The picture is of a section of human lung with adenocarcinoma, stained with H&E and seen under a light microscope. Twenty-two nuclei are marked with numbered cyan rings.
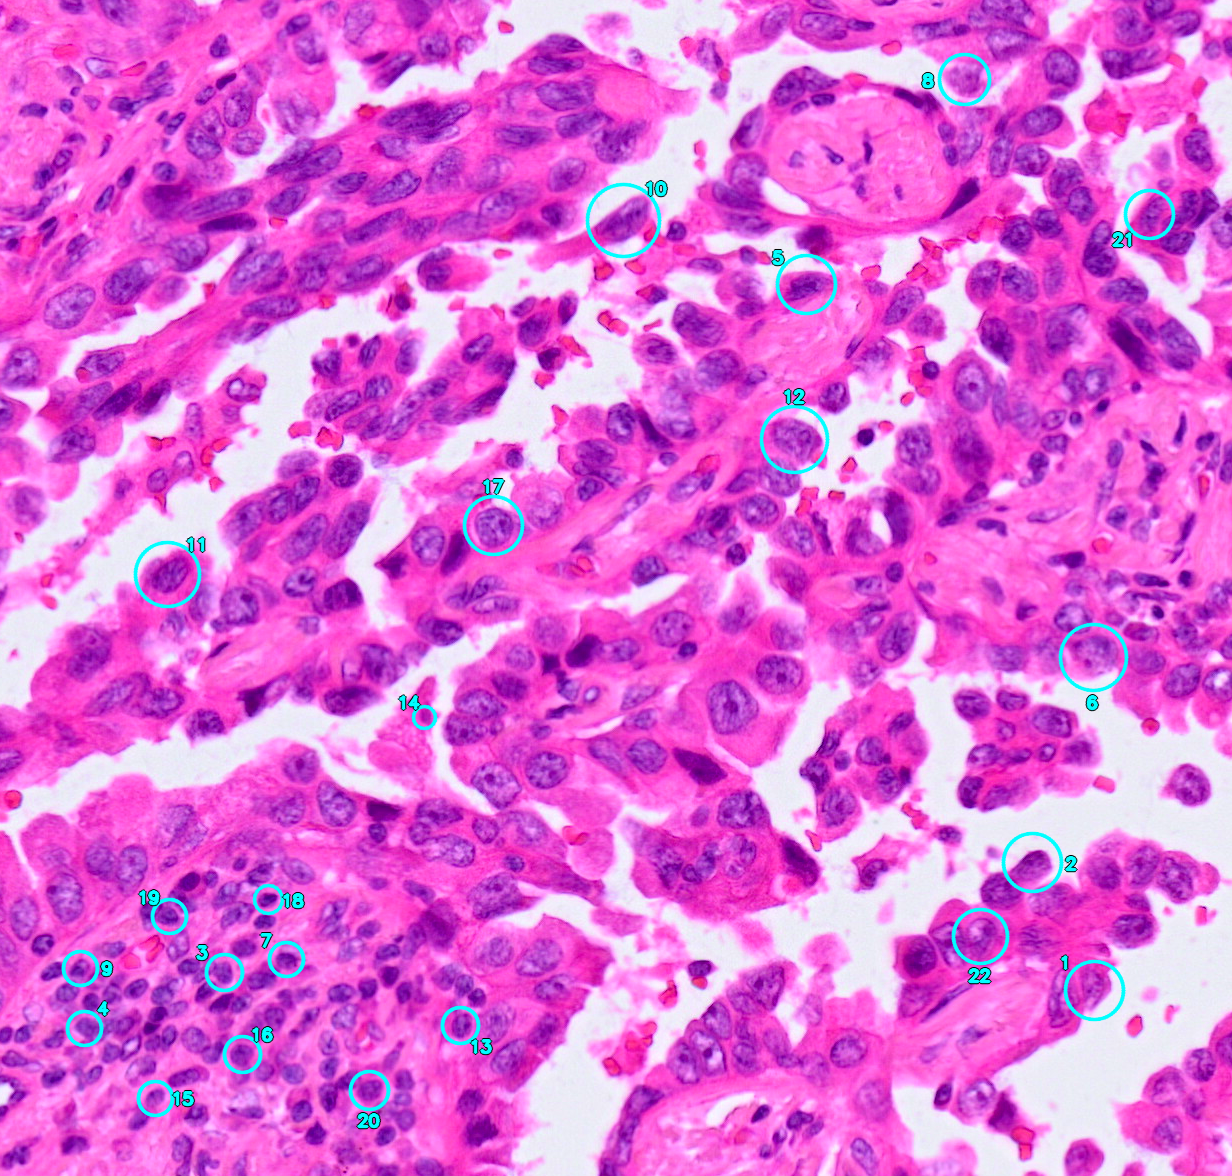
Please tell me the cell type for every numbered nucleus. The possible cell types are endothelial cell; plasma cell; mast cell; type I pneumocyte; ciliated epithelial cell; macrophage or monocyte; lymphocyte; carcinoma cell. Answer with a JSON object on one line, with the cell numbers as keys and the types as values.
{"1": "carcinoma cell", "2": "carcinoma cell", "3": "lymphocyte", "4": "lymphocyte", "5": "carcinoma cell", "6": "carcinoma cell", "7": "lymphocyte", "8": "carcinoma cell", "9": "lymphocyte", "10": "carcinoma cell", "11": "carcinoma cell", "12": "carcinoma cell", "13": "lymphocyte", "14": "carcinoma cell", "15": "lymphocyte", "16": "lymphocyte", "17": "carcinoma cell", "18": "lymphocyte", "19": "lymphocyte", "20": "plasma cell", "21": "carcinoma cell", "22": "carcinoma cell"}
